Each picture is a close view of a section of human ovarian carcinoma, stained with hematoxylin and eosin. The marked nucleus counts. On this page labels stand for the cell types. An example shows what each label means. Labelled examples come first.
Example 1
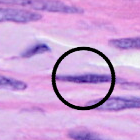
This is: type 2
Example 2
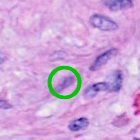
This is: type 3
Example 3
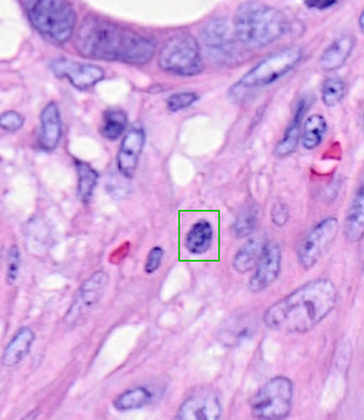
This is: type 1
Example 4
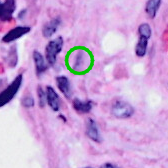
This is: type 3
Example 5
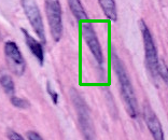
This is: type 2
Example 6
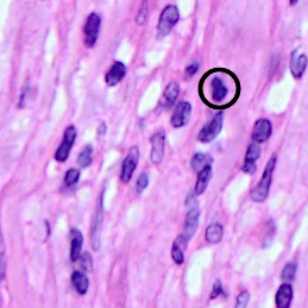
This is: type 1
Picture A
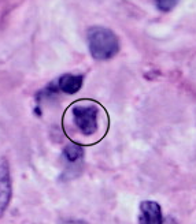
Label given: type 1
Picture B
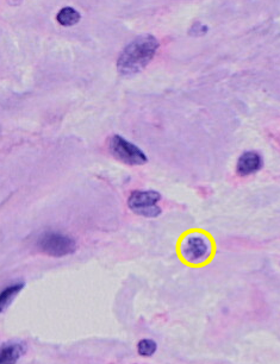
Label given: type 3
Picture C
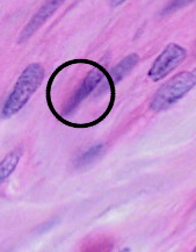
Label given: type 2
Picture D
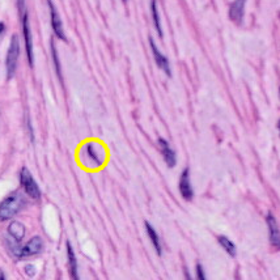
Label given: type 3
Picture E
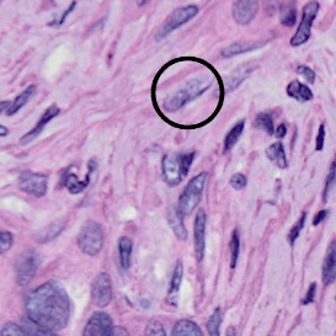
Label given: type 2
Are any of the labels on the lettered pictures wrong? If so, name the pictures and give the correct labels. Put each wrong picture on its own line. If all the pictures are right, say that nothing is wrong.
B: not type 3 but type 1
E: not type 2 but type 3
